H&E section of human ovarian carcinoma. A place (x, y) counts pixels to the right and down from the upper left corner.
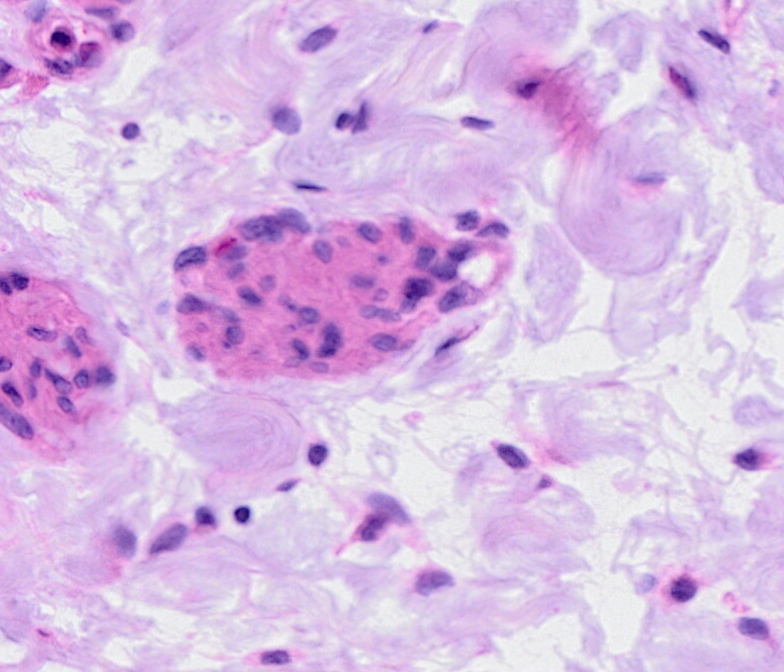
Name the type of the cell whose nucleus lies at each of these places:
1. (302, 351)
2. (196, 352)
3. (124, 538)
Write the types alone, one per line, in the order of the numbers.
smooth muscle cell
smooth muscle cell
fibroblast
